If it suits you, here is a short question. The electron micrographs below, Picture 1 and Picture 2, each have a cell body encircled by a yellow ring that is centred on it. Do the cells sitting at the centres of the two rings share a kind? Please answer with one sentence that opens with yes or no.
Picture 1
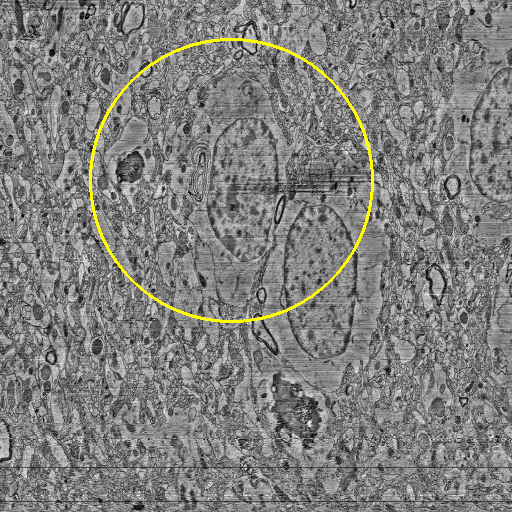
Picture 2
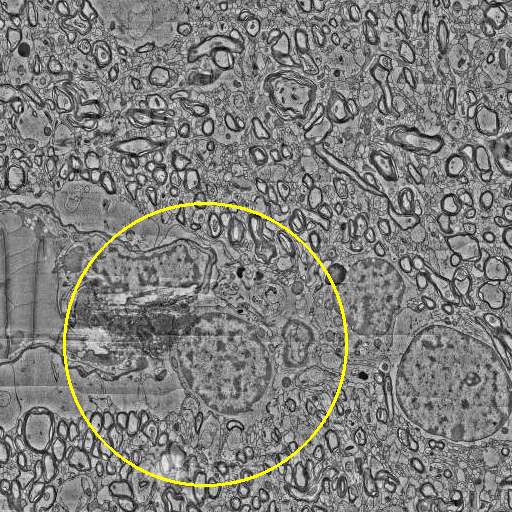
No, the two cells sitting at the ring centres fall into two kinds.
